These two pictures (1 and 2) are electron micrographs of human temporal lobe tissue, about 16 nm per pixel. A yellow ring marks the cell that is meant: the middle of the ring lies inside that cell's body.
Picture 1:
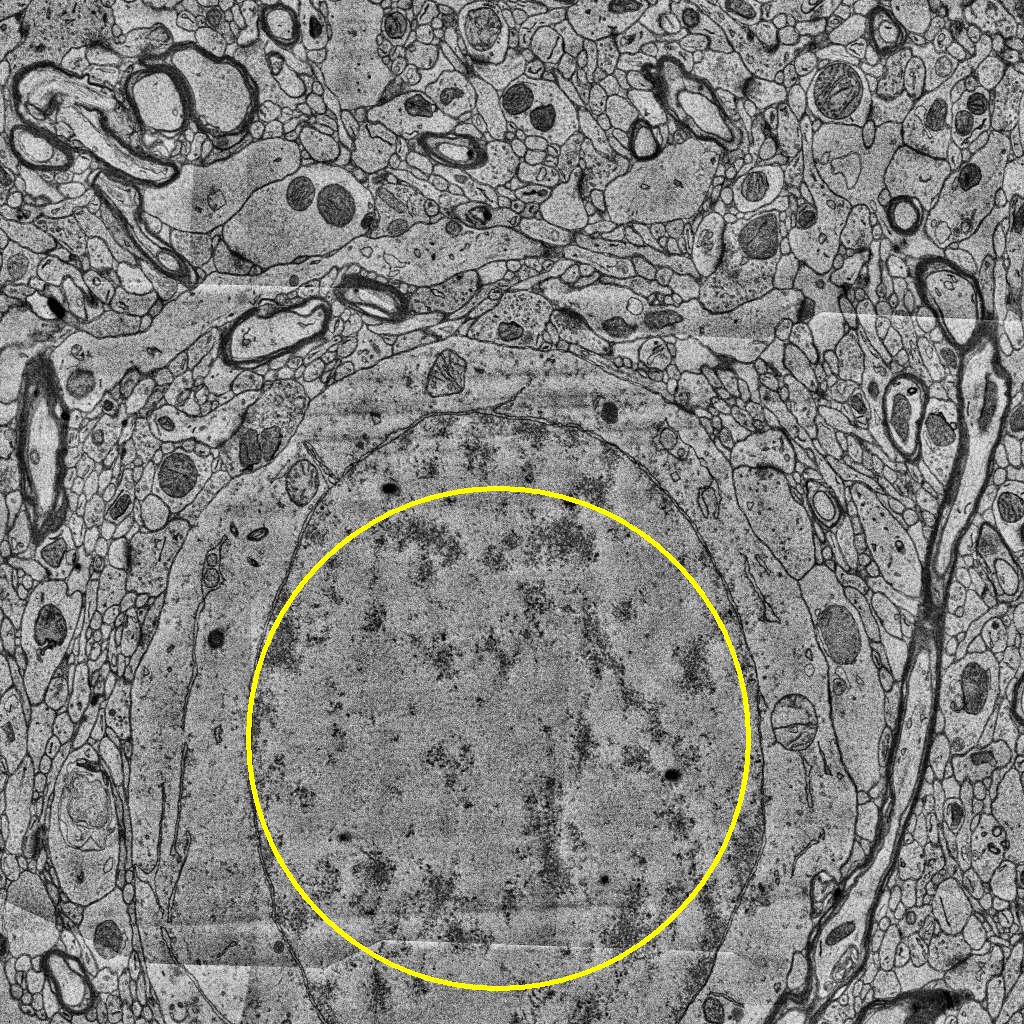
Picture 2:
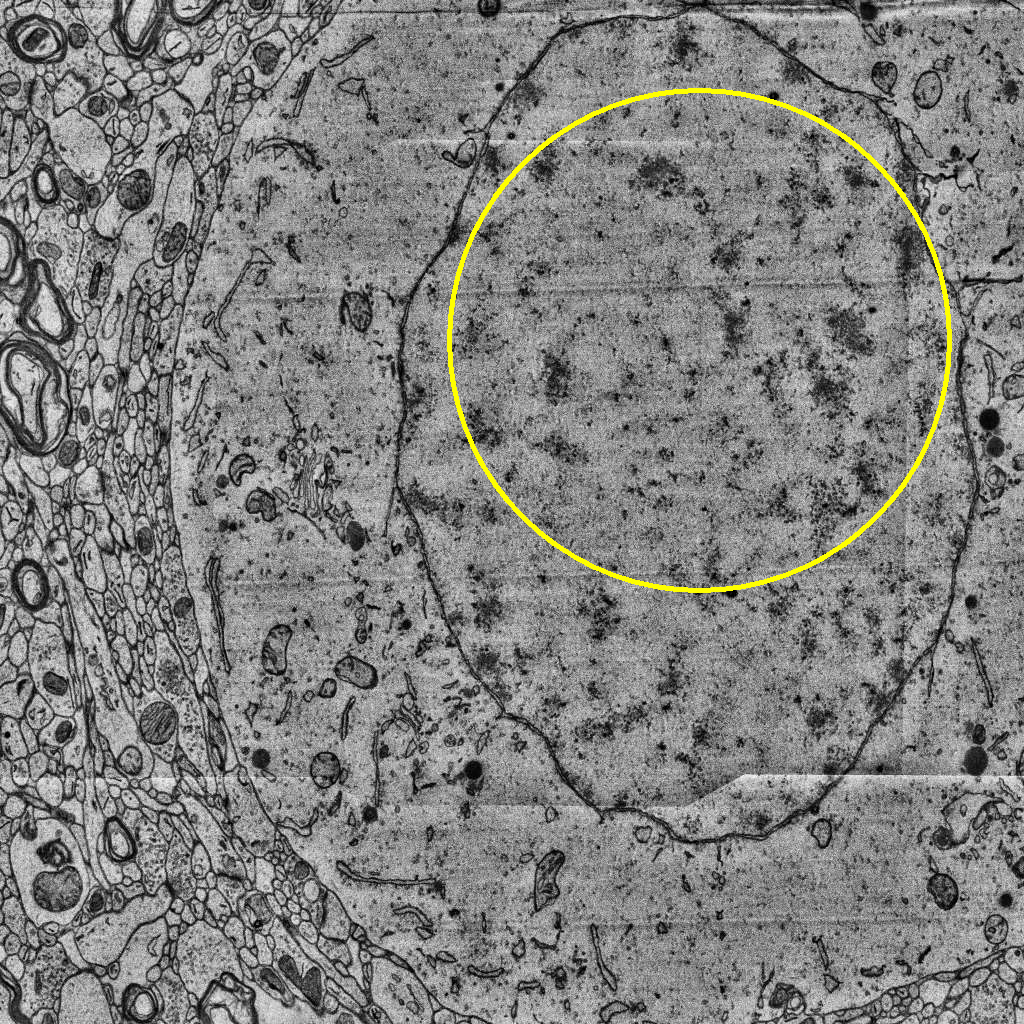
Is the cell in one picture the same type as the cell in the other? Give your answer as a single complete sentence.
Yes, they are the same type: both are pyramidal neurons.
